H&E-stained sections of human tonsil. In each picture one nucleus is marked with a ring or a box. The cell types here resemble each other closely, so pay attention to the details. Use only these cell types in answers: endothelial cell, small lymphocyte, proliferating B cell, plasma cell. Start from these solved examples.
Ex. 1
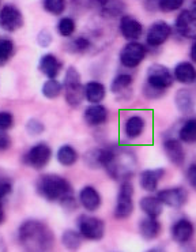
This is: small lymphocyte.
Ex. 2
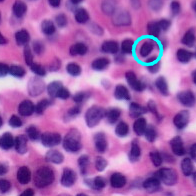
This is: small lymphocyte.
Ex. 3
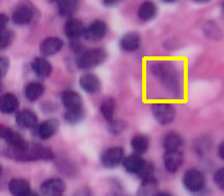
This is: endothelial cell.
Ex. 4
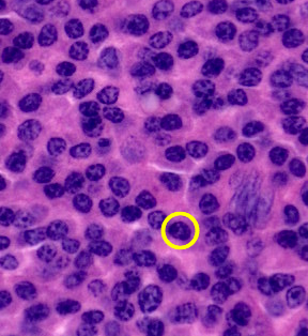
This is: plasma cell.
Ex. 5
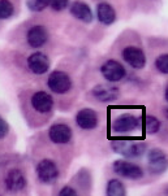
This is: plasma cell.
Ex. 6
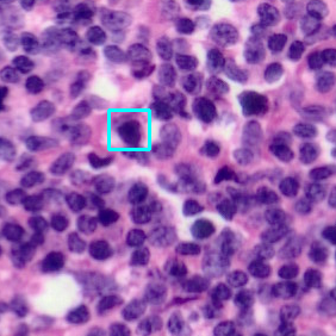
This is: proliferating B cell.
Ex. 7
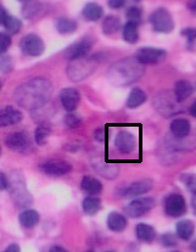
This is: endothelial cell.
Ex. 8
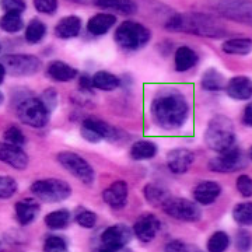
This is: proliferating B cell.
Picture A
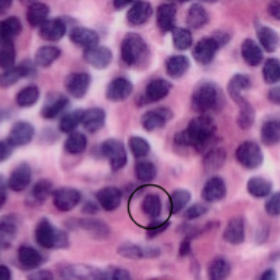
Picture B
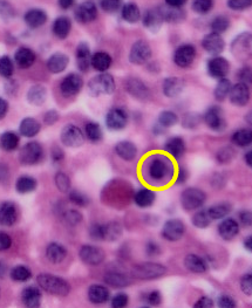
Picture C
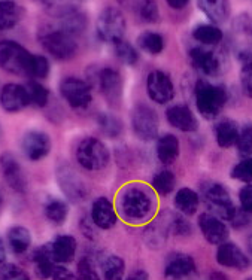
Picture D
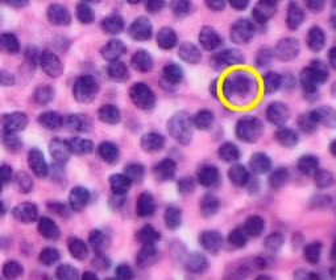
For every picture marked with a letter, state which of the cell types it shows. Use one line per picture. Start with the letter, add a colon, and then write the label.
A: small lymphocyte.
B: plasma cell.
C: plasma cell.
D: small lymphocyte.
